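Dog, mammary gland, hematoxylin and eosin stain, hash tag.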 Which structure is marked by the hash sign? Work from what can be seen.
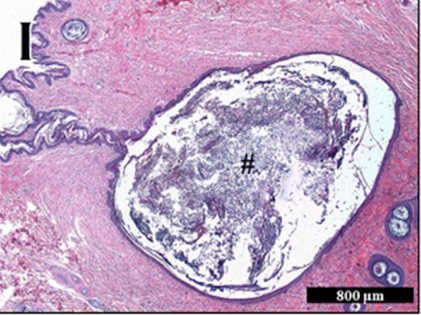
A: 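A large cyst lined by thin epithelium. The cyst is filled with flaky, layered material at the hash sign.
Conclusion: keratin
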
